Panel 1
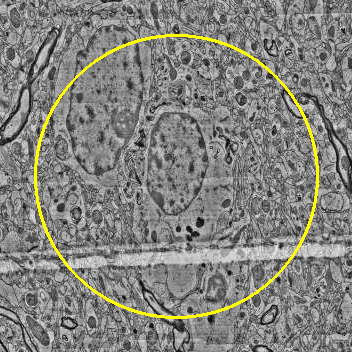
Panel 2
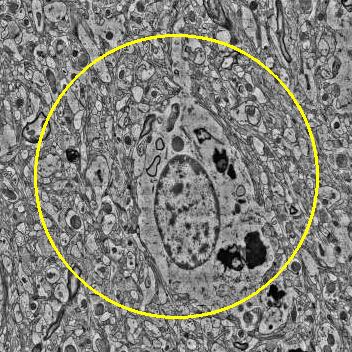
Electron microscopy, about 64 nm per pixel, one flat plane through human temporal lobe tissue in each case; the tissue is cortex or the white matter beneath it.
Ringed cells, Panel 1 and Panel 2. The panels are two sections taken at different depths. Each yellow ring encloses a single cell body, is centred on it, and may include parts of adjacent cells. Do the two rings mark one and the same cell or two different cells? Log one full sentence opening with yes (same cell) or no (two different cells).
No, these yellow rings each mark a separate cell.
